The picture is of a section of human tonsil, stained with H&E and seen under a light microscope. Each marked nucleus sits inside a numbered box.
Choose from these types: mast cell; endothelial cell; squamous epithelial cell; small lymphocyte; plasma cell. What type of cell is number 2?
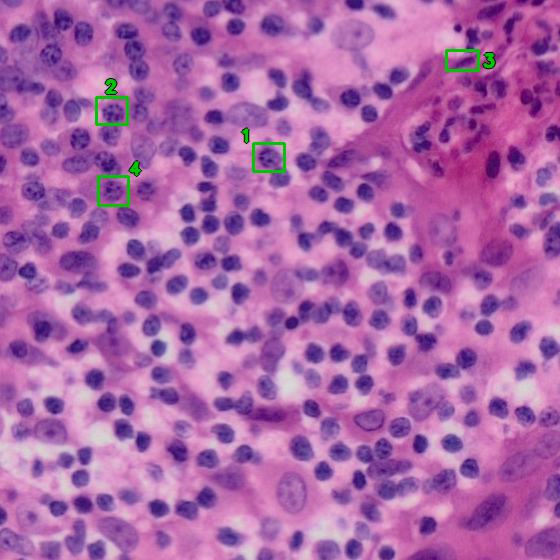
plasma cell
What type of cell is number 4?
plasma cell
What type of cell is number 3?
squamous epithelial cell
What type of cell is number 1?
plasma cell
